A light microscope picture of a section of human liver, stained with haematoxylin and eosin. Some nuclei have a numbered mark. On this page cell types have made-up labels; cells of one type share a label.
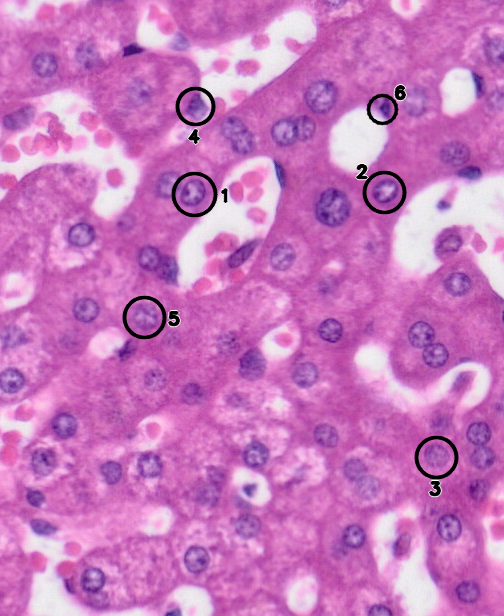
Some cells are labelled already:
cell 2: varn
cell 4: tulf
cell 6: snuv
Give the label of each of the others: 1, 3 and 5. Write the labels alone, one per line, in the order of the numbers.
varn
varn
varn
